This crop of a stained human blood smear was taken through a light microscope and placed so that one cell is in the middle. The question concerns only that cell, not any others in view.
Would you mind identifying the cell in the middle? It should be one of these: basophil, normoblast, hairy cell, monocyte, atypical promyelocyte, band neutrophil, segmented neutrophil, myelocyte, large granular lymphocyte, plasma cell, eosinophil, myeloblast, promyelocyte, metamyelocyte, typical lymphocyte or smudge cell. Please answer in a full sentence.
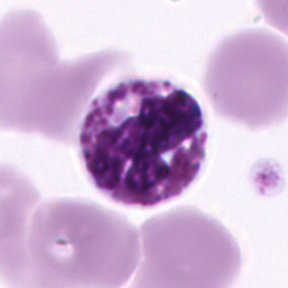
In this smear crop, the middle cell is an eosinophil.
